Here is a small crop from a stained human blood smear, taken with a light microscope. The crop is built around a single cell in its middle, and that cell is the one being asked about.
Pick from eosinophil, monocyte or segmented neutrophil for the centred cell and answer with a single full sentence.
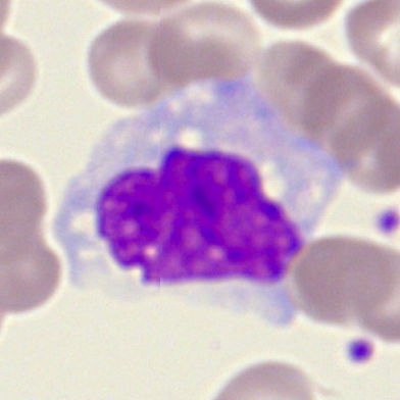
Standing at the centre of this crop is a monocyte.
